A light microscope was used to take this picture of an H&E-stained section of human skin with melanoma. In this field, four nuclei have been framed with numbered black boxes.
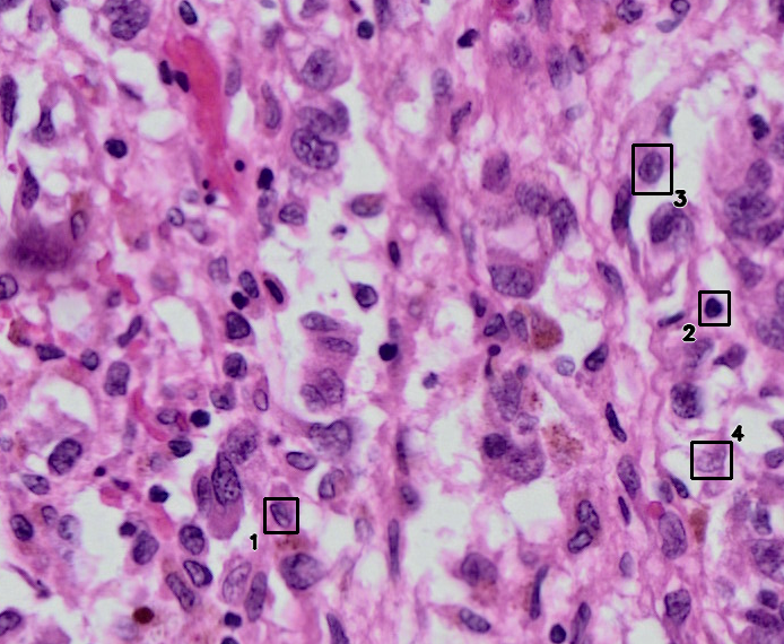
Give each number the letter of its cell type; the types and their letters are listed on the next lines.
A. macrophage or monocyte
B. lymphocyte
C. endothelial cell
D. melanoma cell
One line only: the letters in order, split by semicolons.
A; B; D; D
